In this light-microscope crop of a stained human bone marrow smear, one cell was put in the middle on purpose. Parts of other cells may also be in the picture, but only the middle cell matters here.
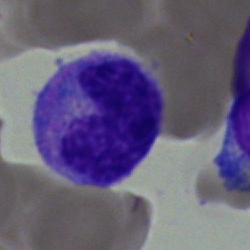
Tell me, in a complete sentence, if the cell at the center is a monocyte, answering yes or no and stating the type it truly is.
Yes, the cell at the centre is designated a monocyte.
